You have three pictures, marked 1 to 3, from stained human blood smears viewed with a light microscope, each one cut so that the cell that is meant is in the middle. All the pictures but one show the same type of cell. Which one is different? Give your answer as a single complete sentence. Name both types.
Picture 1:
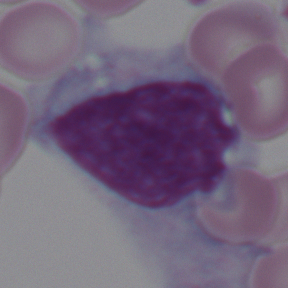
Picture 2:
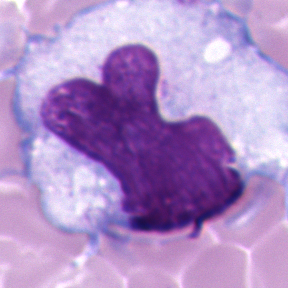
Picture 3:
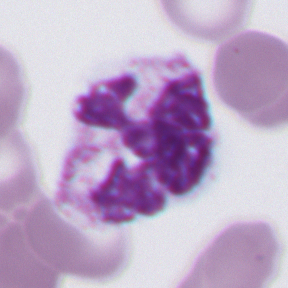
The others show monocytes, but picture 3 shows a segmented neutrophil.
